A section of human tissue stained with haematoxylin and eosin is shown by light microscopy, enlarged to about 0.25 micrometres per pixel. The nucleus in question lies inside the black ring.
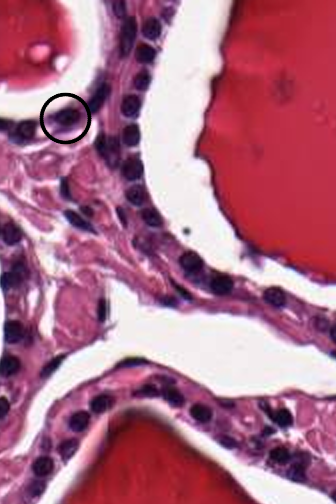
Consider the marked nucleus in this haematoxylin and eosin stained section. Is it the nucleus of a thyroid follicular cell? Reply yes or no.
yes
